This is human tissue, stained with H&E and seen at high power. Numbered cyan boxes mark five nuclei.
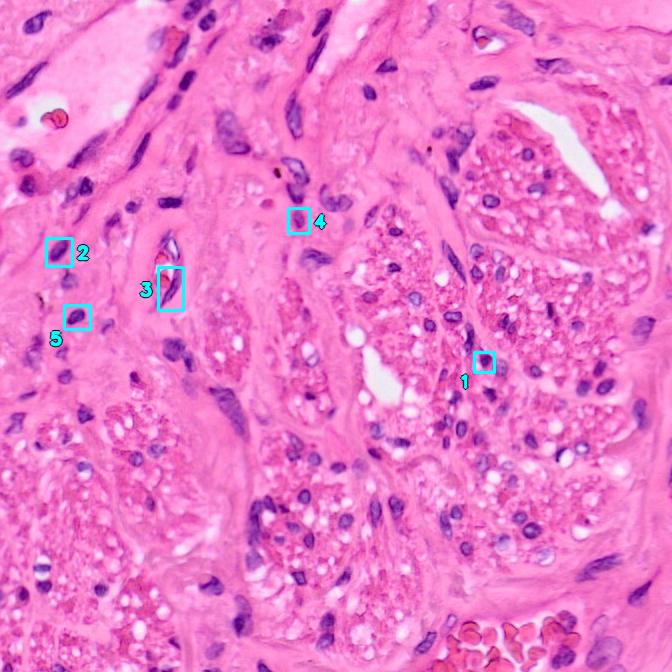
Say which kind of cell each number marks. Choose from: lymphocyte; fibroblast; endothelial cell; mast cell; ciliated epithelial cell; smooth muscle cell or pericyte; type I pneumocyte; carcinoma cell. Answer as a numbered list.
1. smooth muscle cell or pericyte
2. mast cell
3. endothelial cell
4. mast cell
5. mast cell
